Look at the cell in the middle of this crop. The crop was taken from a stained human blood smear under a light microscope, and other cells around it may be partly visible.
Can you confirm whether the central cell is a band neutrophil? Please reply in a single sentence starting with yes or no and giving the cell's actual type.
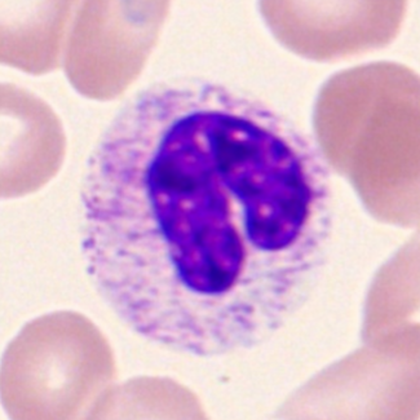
Yes, that is right: the middle cell is a band neutrophil.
